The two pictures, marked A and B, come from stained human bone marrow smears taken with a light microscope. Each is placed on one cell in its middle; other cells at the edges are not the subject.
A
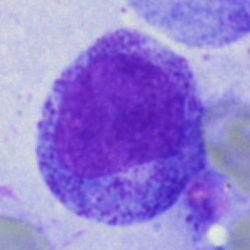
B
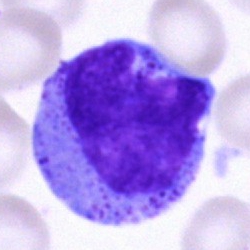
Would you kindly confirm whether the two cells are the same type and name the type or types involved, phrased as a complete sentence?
Yes, both crops show promyelocytes in the middle.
